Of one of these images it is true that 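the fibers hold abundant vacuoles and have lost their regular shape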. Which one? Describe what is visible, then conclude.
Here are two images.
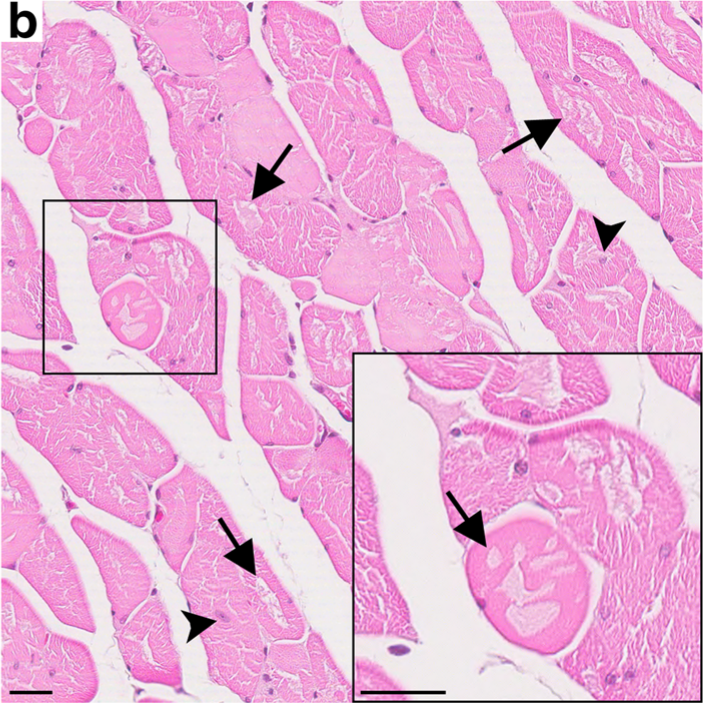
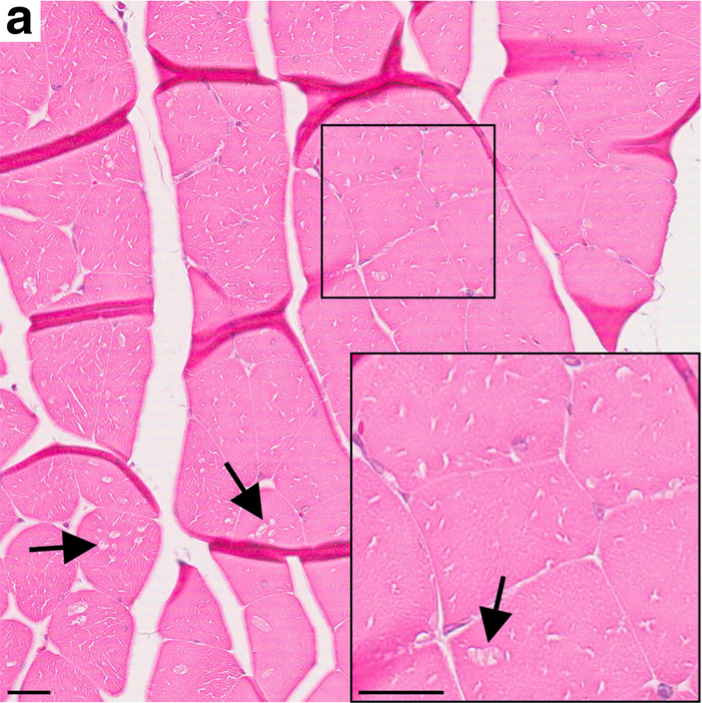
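First image: many fibers contain pale irregular clear areas and vary in shape, some rounded. Second image: fibers are evenly pink, polygonal and tightly fitted, with only a few small clear spaces. That points to this answer: the first image.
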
